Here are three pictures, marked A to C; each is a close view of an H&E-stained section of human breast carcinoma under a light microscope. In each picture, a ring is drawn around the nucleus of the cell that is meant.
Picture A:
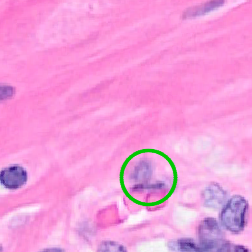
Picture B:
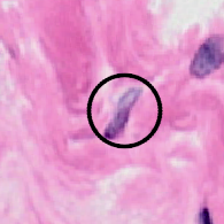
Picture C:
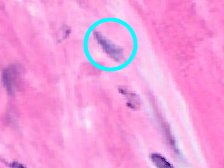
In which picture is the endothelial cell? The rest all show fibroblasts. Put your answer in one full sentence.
It is picture A that shows the endothelial cell.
